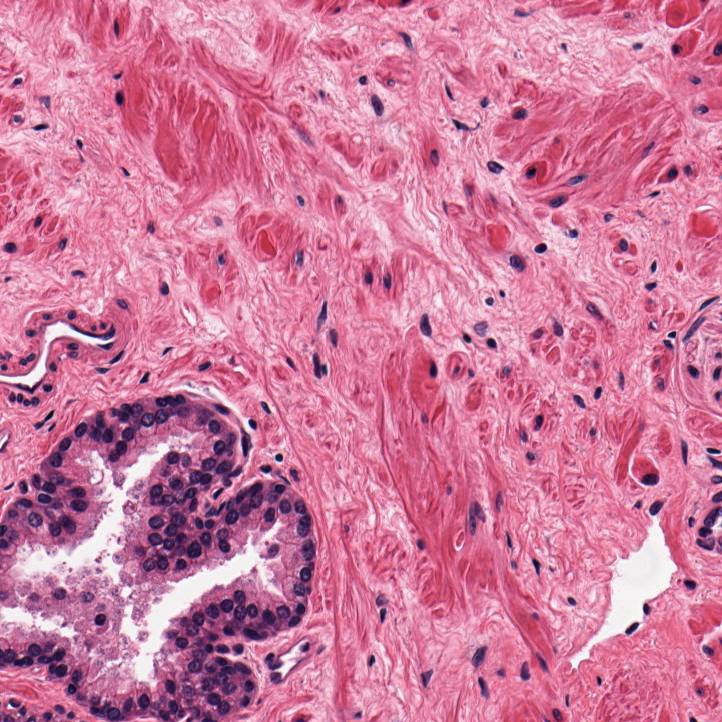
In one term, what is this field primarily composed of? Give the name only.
fibromuscular stroma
